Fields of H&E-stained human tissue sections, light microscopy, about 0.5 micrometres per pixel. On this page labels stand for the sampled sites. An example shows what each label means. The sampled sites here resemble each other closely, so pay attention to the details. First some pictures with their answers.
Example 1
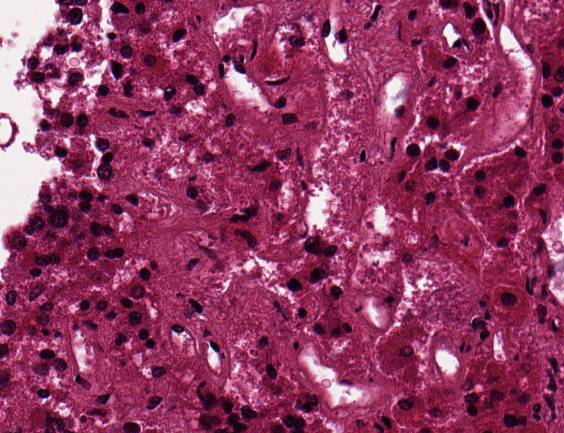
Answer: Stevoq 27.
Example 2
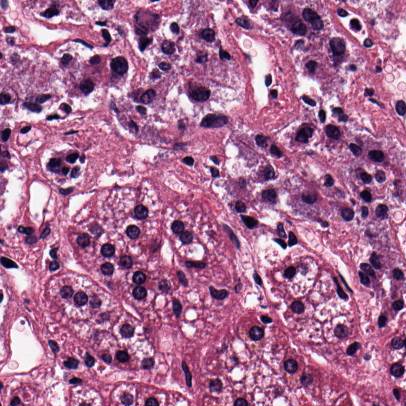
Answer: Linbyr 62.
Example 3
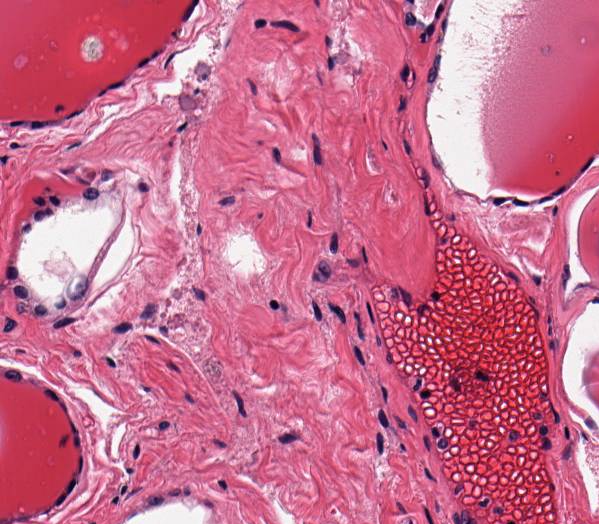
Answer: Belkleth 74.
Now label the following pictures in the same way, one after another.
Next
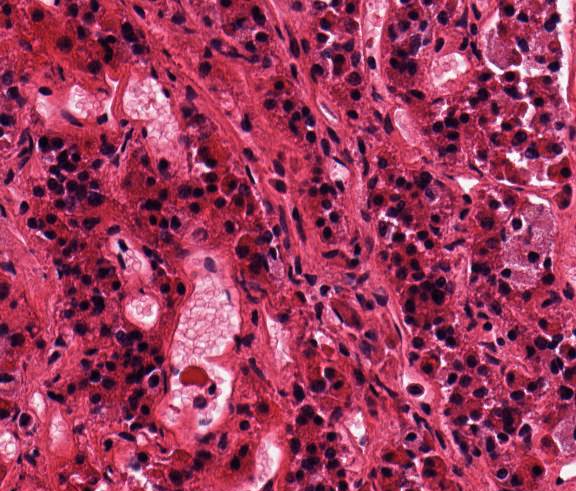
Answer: Stevoq 27.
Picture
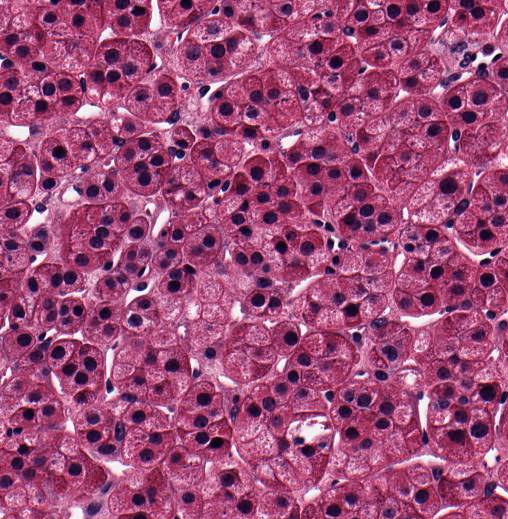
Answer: Linbyr 62.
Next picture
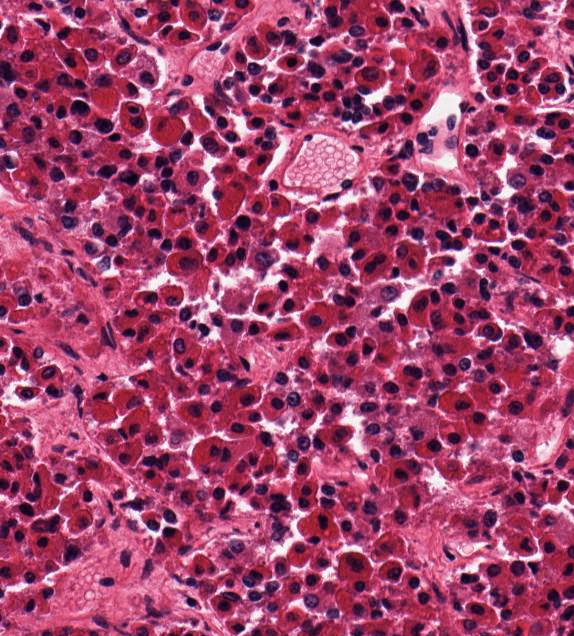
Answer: Stevoq 27.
